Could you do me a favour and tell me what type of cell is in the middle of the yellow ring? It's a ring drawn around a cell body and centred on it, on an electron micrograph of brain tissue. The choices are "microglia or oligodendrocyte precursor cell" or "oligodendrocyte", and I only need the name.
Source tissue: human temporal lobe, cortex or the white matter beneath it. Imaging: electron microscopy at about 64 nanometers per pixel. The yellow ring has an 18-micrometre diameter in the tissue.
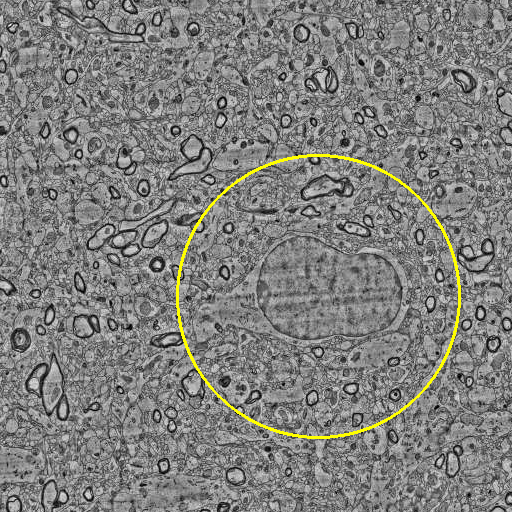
microglia or oligodendrocyte precursor cell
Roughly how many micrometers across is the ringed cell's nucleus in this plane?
Roughly 9 by 7 micrometres is the size of the nucleus in this plane.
